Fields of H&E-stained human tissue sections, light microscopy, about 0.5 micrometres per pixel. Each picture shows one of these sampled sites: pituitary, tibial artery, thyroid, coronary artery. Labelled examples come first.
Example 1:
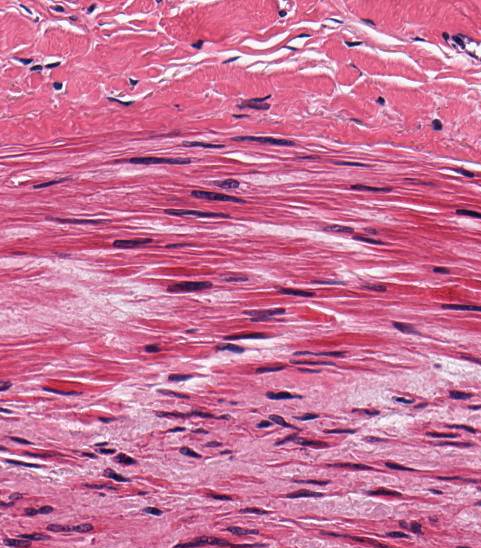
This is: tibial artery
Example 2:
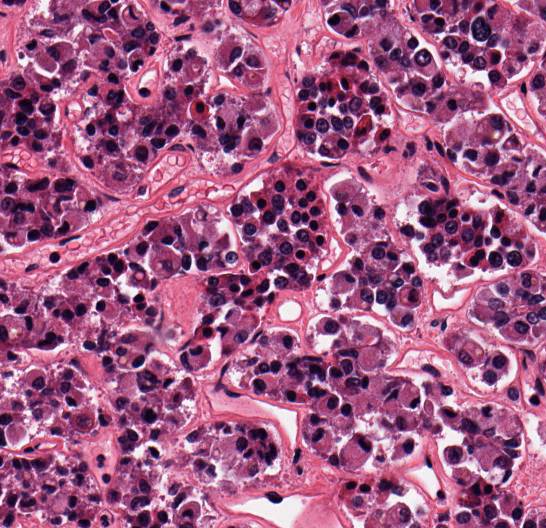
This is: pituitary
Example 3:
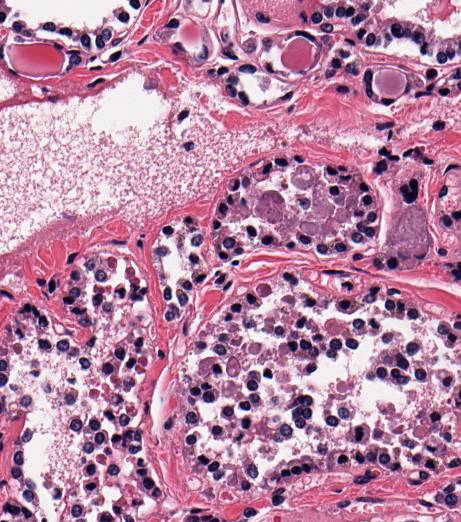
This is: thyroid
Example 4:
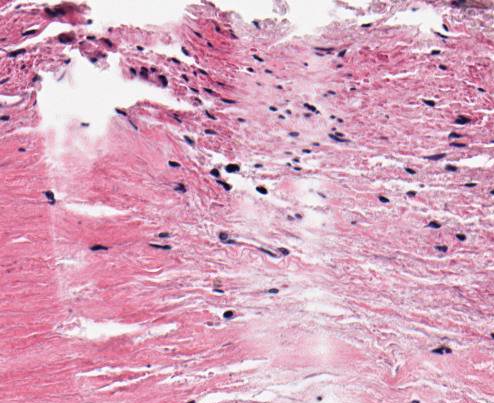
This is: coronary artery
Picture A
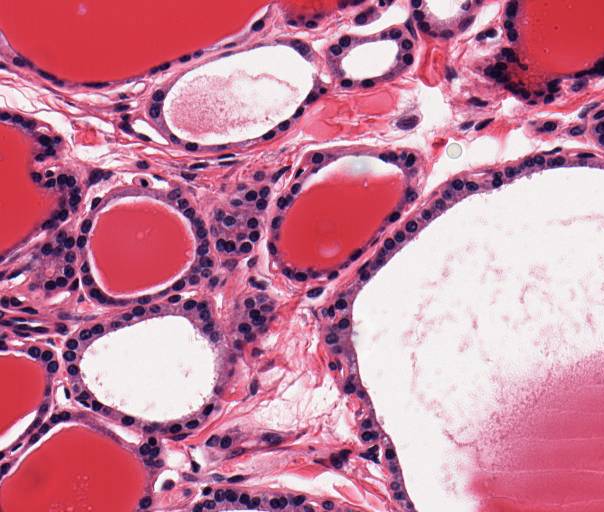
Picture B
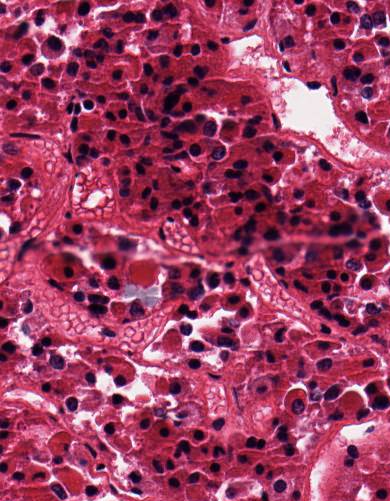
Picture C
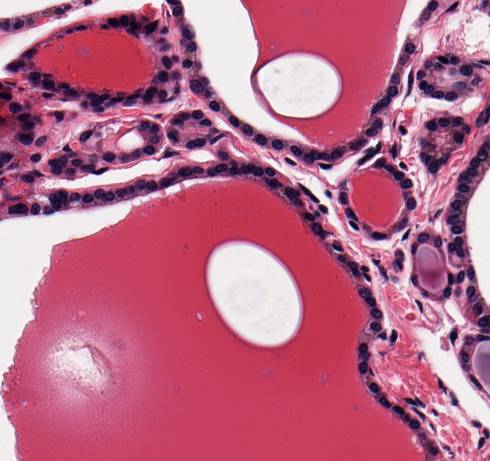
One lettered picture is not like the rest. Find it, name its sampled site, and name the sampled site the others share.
B (pituitary) is the exception; every other picture is thyroid.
